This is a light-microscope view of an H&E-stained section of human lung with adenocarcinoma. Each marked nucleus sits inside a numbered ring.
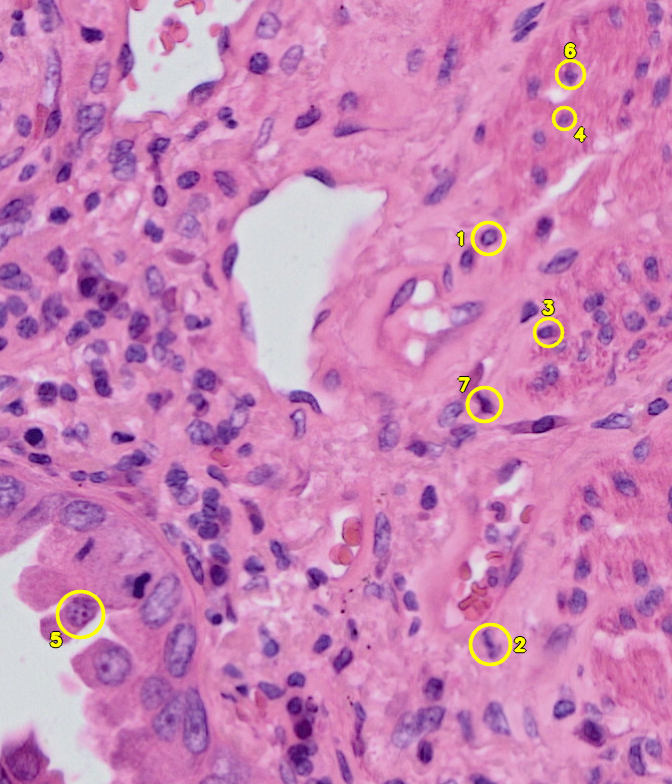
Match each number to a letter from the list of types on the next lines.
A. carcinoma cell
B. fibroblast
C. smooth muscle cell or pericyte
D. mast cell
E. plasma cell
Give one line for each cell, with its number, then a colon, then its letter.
1: D
2: B
3: C
4: C
5: A
6: C
7: E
